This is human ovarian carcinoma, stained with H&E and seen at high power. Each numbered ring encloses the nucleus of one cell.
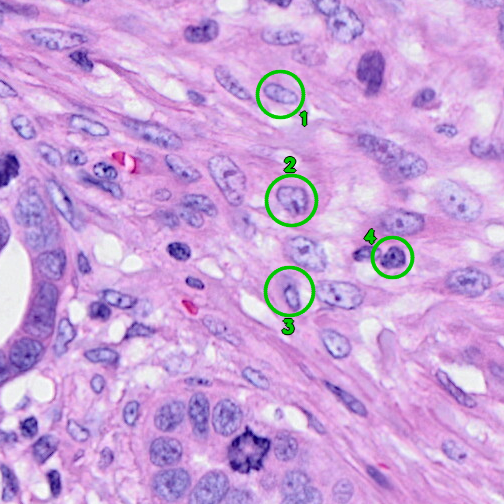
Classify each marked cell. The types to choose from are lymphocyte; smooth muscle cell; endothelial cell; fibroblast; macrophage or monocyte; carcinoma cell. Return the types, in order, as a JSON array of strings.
["fibroblast", "fibroblast", "fibroblast", "lymphocyte"]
